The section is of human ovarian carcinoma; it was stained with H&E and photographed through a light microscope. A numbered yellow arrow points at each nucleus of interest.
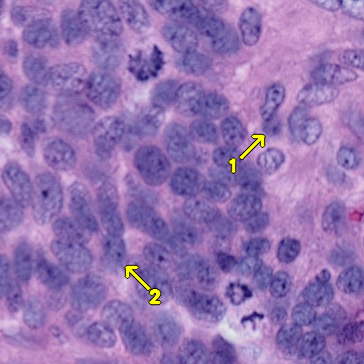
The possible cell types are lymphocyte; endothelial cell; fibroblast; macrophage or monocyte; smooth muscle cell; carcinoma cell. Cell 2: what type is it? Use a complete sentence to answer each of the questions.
The cell given label 2 is a carcinoma cell.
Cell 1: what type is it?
The cell marked with the number 1 is a macrophage or monocyte.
